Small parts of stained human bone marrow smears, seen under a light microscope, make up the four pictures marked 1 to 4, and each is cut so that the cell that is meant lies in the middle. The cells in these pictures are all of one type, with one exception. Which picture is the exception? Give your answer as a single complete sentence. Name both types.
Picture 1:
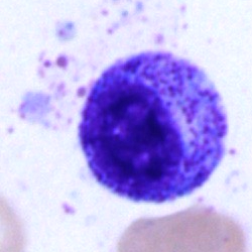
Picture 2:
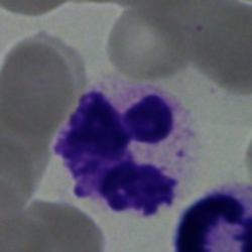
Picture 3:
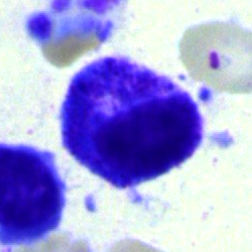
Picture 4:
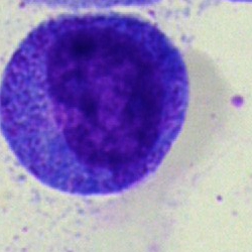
The others show promyelocytes, but picture 2 shows a basophil.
